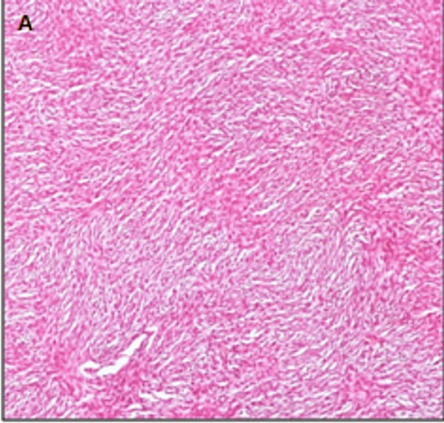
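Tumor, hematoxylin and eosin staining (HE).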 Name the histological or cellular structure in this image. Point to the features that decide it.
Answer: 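Densely packed elongated cells run in curving, intersecting bundles.
Hence: storiform whorled growth pattern.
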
